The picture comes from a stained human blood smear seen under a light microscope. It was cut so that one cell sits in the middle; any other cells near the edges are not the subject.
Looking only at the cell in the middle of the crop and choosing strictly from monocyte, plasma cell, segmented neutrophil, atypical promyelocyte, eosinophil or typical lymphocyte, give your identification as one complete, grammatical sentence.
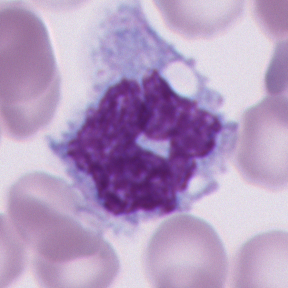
Among the cells in view, the one in the middle is a monocyte.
